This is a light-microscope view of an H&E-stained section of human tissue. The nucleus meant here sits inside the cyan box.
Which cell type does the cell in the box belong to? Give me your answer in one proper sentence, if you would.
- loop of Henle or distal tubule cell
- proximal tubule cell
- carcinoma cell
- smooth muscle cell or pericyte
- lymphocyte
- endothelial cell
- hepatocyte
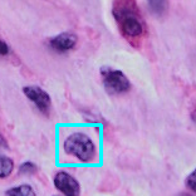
In this tissue sample, the cell in the box is a lymphocyte.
